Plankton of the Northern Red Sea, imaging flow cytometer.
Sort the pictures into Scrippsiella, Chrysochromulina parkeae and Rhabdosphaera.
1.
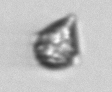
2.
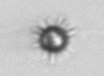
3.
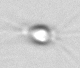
Scrippsiella: 1
Rhabdosphaera: 2
Chrysochromulina parkeae: 3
